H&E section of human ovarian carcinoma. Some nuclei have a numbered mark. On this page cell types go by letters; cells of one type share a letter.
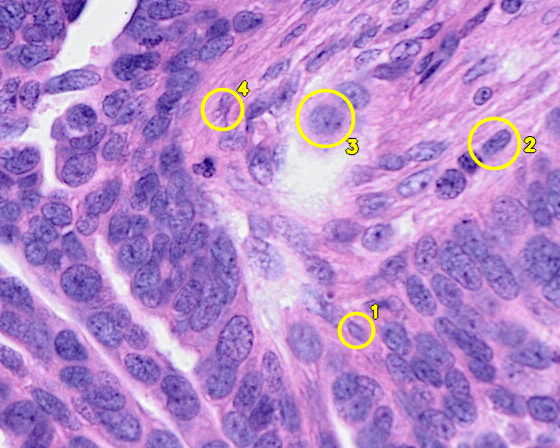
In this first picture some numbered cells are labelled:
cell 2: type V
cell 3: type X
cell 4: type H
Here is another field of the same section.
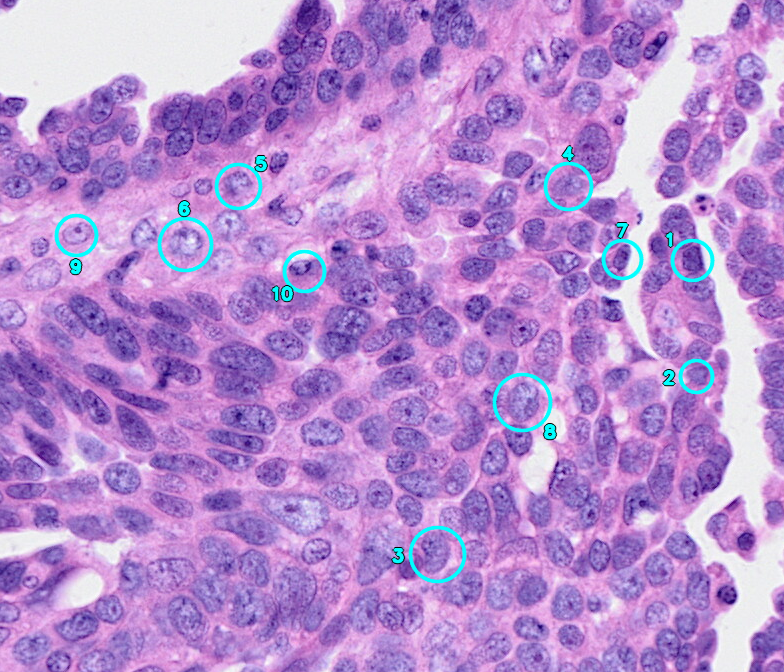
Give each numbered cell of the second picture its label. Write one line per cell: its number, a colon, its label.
1: type X
2: type X
3: type X
4: type X
5: type H
6: type H
7: type X
8: type X
9: type H
10: type V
